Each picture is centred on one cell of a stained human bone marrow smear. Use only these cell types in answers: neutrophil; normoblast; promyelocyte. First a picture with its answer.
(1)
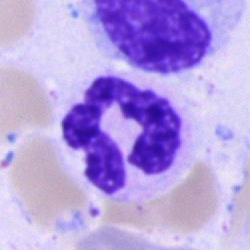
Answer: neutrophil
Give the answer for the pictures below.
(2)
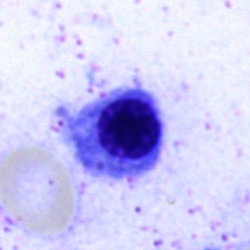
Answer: normoblast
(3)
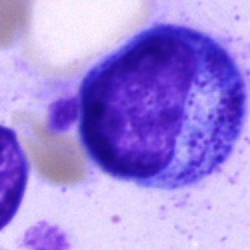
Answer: promyelocyte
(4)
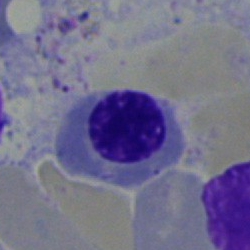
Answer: normoblast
